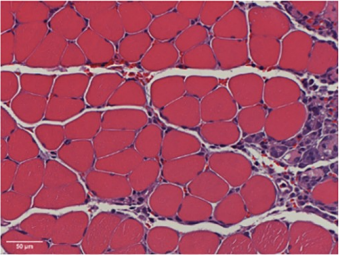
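Skeletal muscle cut across, with a focus of inflammation at one side. Most of the field is taken by pink muscle fibres of rounded polygonal outline, separated by thin pale gaps, with a few dark nuclei at their edges. Toward the lower right a dense cluster of small cells with dark purple nuclei fills the tissue between fibres, and smaller groups of such basophilic cells line some of the clefts. Broad white clefts cross the section horizontally, separating fibre bundles.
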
